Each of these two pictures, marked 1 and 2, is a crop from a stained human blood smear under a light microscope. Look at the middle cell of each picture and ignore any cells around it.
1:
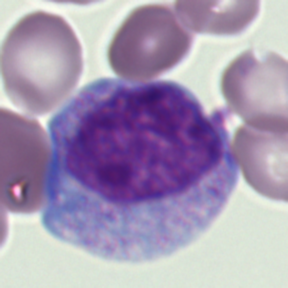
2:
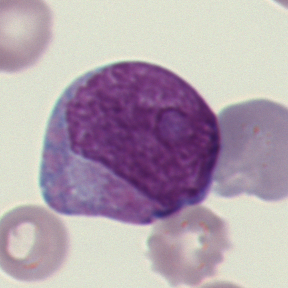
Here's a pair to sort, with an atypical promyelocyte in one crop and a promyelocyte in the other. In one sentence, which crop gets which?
Represented in crop 1 is a promyelocyte; represented in crop 2 is an atypical promyelocyte.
